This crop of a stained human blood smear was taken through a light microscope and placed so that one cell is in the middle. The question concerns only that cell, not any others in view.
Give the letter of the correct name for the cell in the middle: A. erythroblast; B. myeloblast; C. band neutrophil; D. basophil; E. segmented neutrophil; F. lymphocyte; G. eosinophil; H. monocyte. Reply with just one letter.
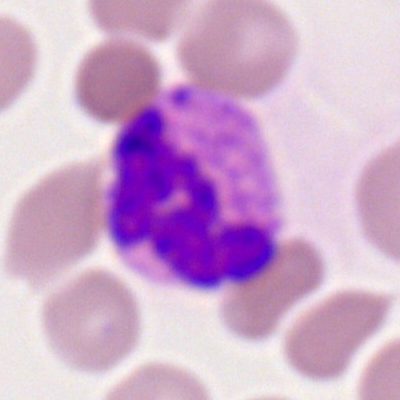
D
